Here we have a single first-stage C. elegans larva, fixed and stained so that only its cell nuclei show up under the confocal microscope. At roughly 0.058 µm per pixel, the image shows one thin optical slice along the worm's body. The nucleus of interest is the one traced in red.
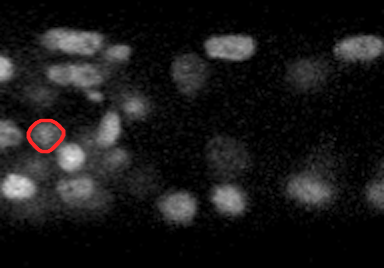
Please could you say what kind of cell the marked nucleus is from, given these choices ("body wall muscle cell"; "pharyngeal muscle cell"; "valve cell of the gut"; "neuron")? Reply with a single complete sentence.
The marked cell is a pharyngeal muscle cell.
